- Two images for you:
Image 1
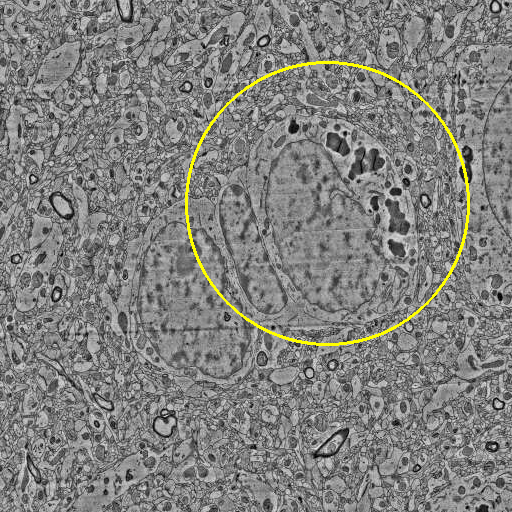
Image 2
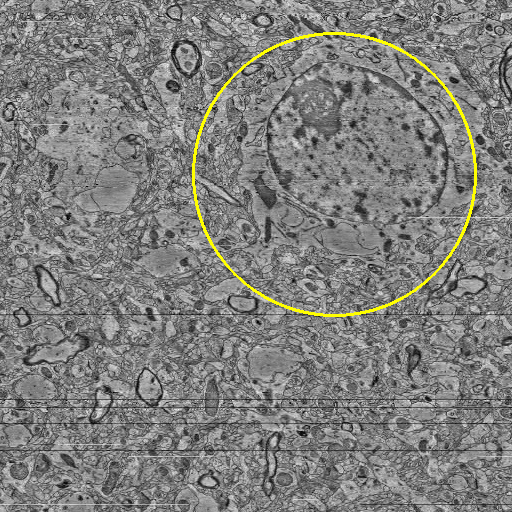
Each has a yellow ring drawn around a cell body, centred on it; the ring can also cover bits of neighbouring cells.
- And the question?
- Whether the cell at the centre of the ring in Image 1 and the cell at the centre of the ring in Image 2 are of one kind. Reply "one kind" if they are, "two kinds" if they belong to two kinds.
two kinds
